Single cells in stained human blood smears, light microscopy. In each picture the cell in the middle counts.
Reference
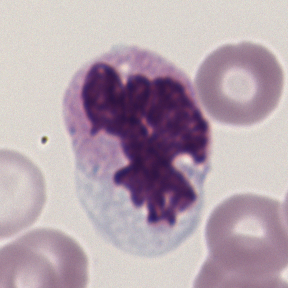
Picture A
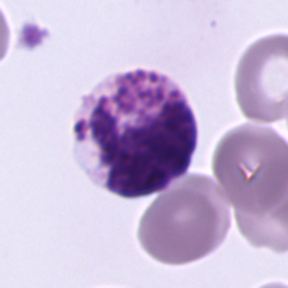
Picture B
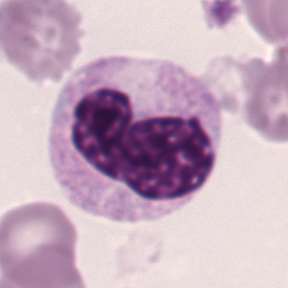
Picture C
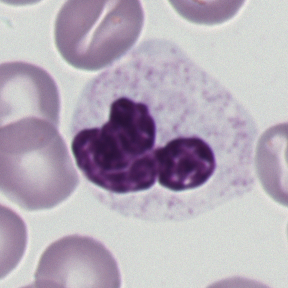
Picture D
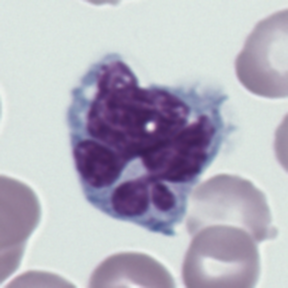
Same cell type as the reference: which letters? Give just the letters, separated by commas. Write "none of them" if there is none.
B, C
